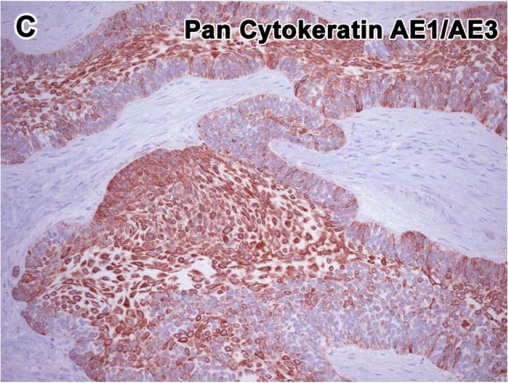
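The brown outlines the cells diffusely, and it is strongest in the loosely arranged, irregular cells in the centre of the islands, which resemble stellate reticulum. The palisaded row of tall columnar cells at the edges of the cords stains more weakly, so their blue nuclei stand out as a rim. The stroma contains only scattered blue spindle-shaped nuclei.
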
